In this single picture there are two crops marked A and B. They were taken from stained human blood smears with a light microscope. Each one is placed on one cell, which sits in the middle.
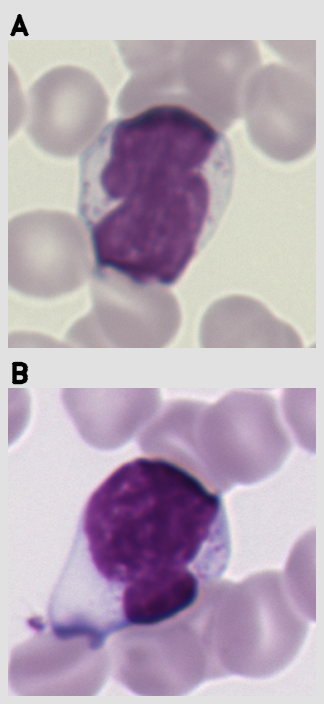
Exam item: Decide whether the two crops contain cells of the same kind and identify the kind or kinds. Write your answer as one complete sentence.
Yes, large granular lymphocytes are centred in both crops.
